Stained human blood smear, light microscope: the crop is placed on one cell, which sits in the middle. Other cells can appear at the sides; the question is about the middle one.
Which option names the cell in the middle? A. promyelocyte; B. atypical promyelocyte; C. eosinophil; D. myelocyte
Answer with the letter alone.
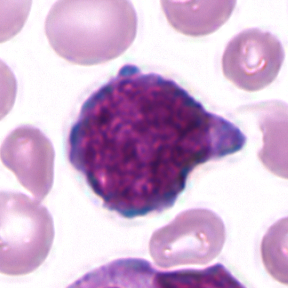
B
